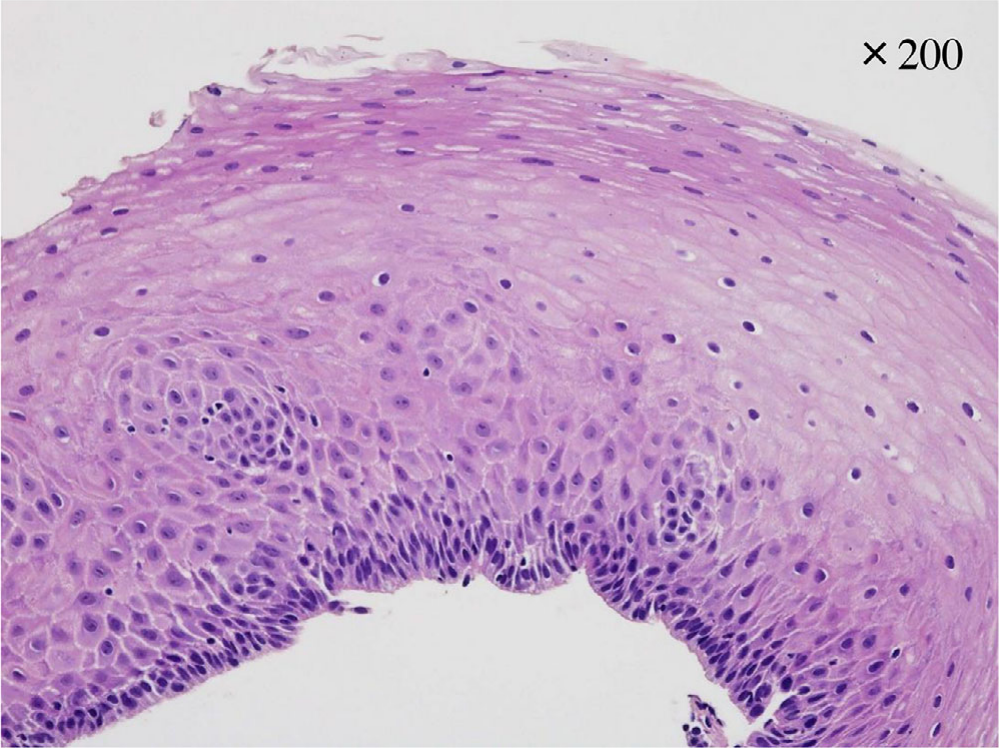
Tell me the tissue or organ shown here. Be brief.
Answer: Stratified squamous epithelial mucosa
